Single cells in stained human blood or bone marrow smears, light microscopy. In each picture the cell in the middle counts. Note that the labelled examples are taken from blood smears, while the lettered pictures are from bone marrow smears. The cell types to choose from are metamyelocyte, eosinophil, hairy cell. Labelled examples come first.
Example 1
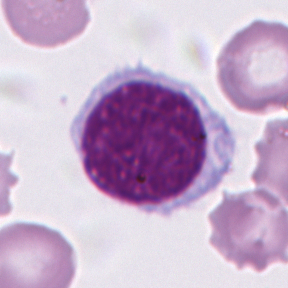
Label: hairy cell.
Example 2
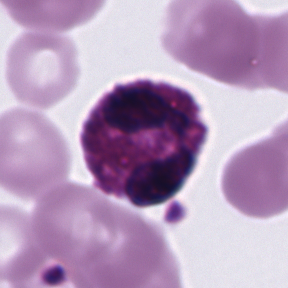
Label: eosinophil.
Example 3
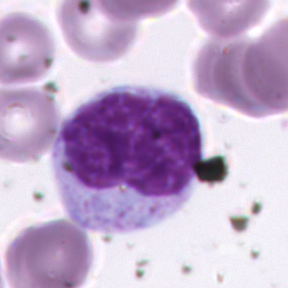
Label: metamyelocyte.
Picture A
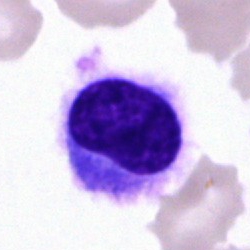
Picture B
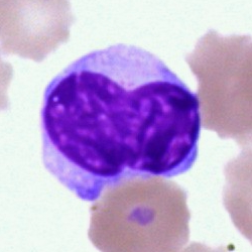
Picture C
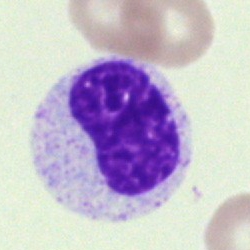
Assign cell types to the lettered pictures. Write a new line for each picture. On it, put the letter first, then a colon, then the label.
A: hairy cell.
B: hairy cell.
C: metamyelocyte.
